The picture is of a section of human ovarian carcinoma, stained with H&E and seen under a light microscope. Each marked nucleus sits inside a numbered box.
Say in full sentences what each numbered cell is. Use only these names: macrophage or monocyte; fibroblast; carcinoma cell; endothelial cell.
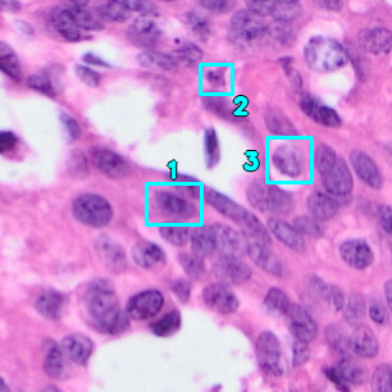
Cell 1 is a carcinoma cell, cell 2 is a carcinoma cell and cell 3 is a macrophage or monocyte.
